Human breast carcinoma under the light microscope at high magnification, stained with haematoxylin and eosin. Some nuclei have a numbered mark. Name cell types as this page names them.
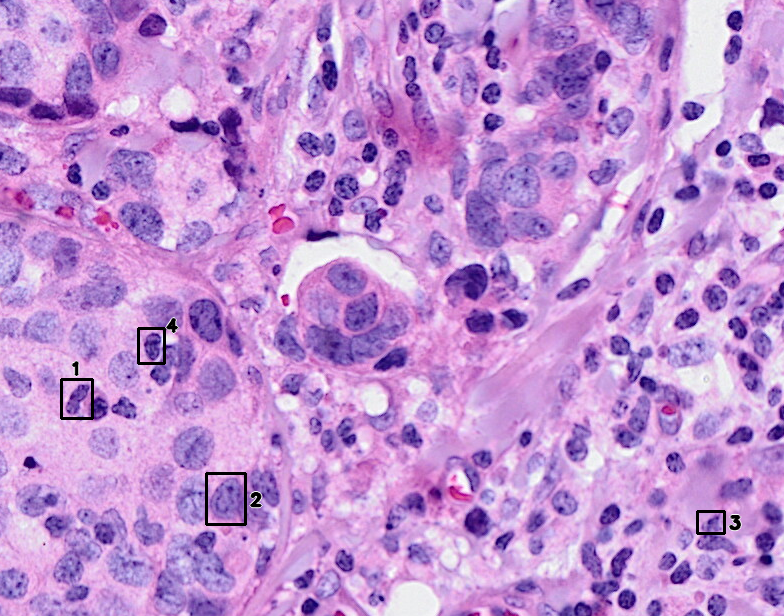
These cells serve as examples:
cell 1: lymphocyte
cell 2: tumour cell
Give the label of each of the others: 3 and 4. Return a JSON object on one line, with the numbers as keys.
{"3": "lymphocyte", "4": "lymphocyte"}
